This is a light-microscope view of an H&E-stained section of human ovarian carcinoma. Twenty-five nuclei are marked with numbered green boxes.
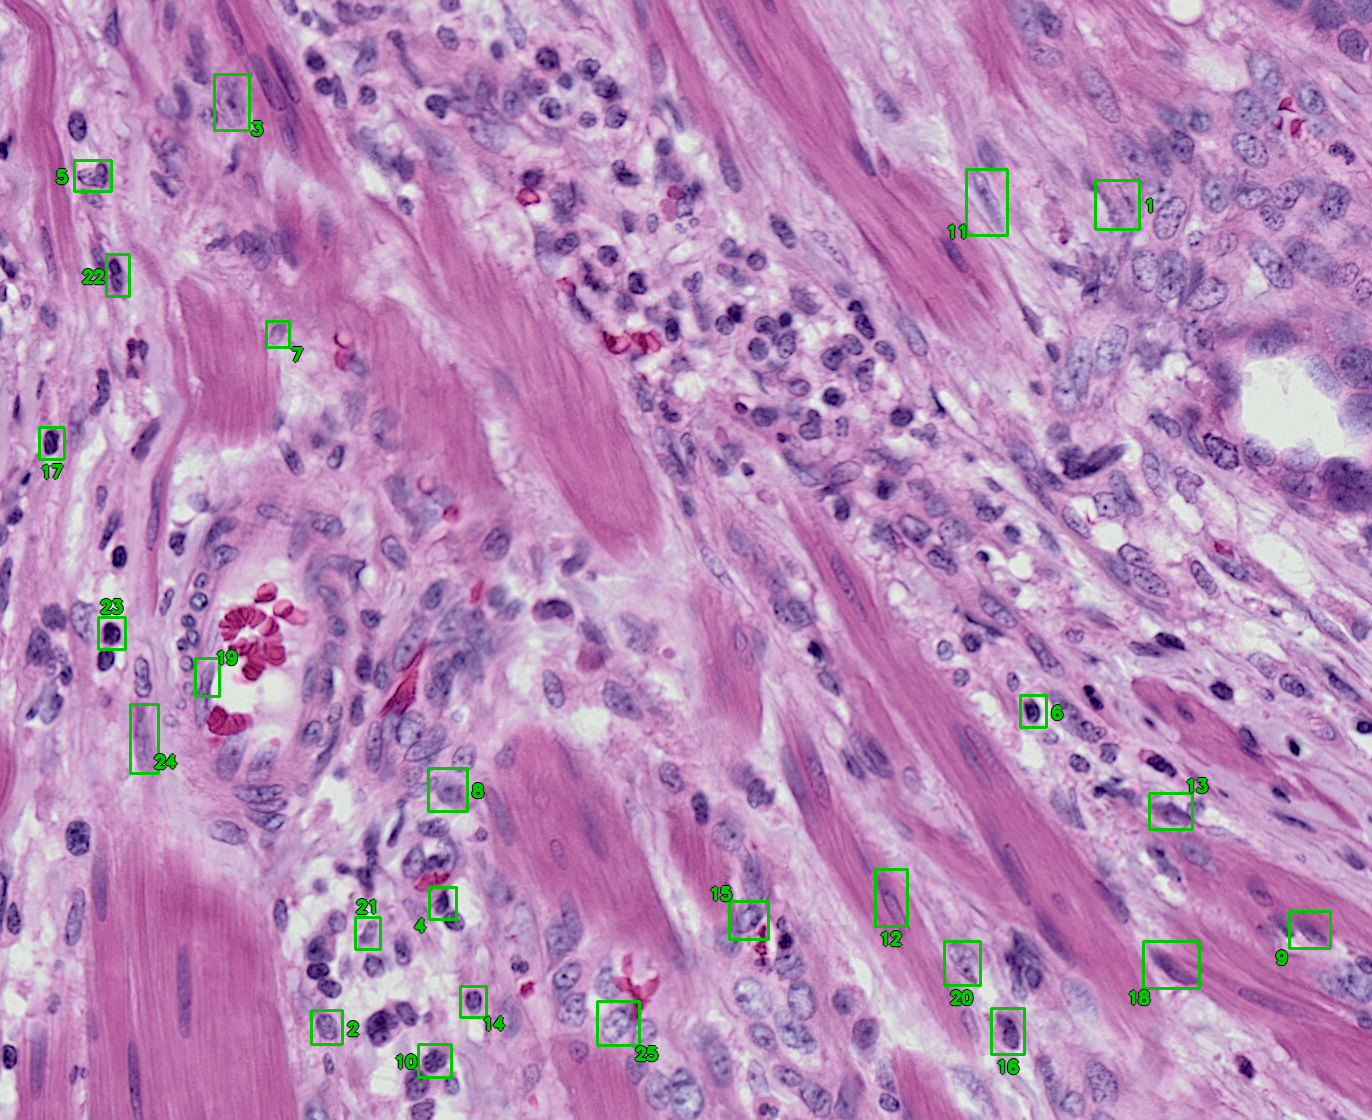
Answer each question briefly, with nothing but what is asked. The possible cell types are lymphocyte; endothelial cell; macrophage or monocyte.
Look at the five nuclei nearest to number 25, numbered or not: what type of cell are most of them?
endothelial cell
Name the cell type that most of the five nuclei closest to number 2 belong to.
lymphocyte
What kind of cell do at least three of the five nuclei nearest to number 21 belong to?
macrophage or monocyte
